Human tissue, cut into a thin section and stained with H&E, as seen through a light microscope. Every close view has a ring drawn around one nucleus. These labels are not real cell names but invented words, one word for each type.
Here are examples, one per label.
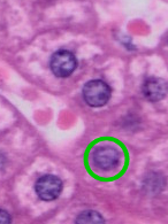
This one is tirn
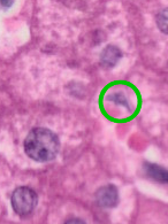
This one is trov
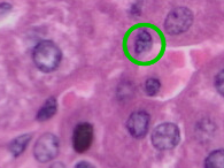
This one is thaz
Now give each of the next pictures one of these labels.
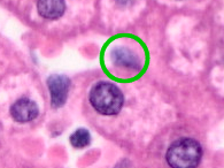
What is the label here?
trov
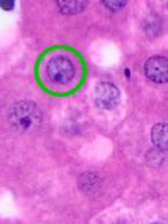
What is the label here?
tirn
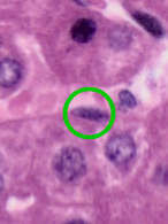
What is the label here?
trov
